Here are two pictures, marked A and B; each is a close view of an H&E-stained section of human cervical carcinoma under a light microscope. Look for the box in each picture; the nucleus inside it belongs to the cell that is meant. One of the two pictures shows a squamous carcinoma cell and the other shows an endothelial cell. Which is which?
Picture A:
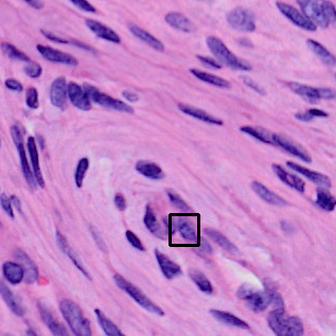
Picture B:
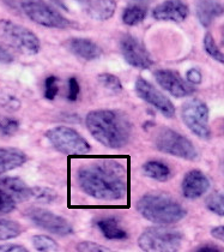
A: endothelial cell
B: squamous carcinoma cell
